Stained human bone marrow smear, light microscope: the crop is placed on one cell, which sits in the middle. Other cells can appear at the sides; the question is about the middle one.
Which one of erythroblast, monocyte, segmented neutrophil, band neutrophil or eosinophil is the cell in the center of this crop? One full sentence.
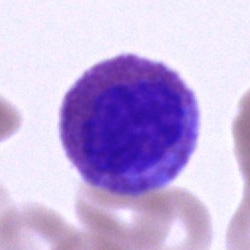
Looking at the middle of the crop, the cell there is an eosinophil.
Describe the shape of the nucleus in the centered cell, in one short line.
Just one compact nuclear mass here, round, oval or kidney-shaped.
